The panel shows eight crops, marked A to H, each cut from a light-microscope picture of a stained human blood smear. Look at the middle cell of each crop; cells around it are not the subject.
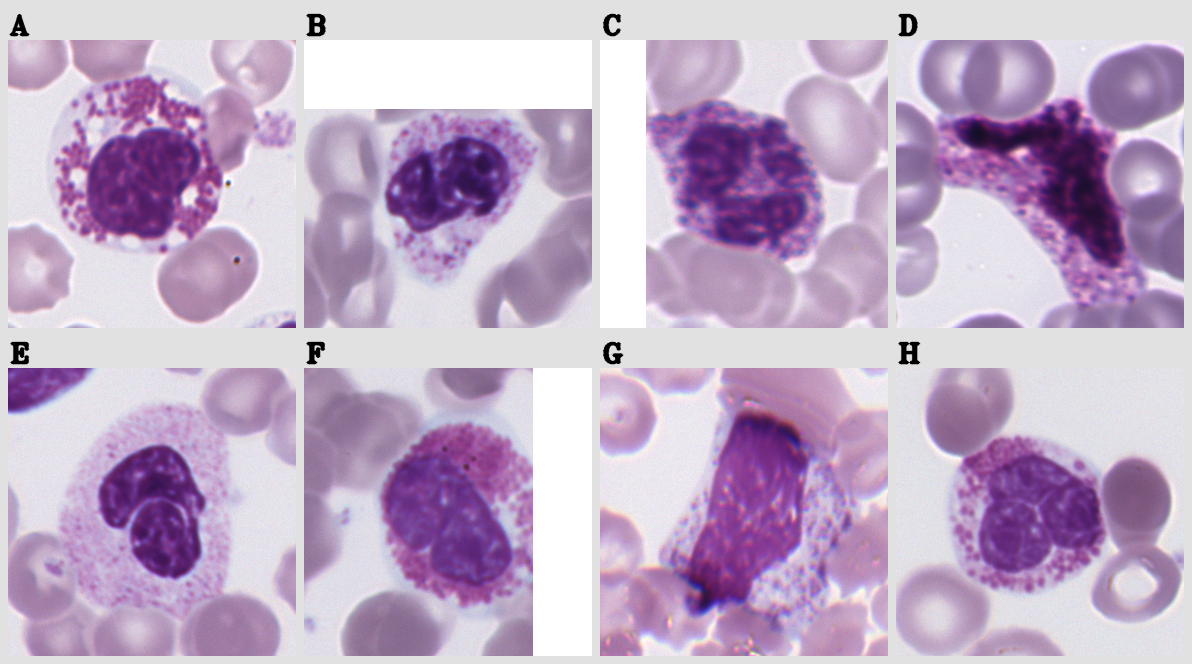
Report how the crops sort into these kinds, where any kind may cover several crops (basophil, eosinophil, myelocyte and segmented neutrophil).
A: eosinophil
B: segmented neutrophil
C: basophil
D: basophil
E: segmented neutrophil
F: eosinophil
G: myelocyte
H: eosinophil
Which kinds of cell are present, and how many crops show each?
eosinophil: 3
segmented neutrophil: 2
basophil: 2
myelocyte: 1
